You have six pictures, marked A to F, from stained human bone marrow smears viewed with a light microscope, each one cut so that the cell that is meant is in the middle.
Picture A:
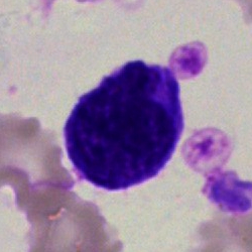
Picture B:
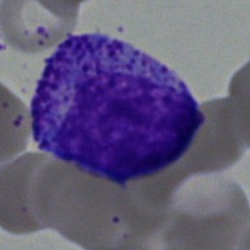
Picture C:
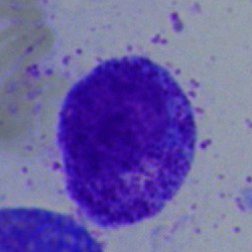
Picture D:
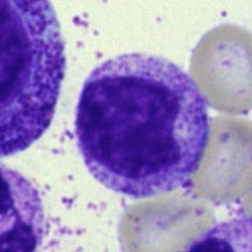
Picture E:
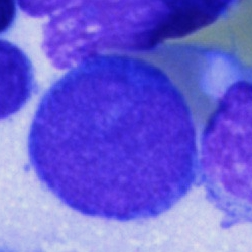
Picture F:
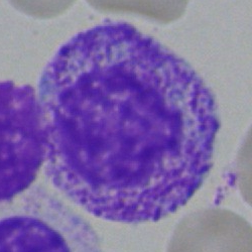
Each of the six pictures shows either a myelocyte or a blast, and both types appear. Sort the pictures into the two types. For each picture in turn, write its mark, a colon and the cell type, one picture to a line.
A: blast
B: myelocyte
C: myelocyte
D: myelocyte
E: blast
F: myelocyte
